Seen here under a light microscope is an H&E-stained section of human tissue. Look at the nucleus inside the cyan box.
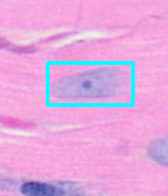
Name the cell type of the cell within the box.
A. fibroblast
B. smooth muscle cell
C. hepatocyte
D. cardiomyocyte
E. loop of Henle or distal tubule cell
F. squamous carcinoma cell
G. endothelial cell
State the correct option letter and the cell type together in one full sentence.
In this item, the cell within the box is a cardiomyocyte, and option D is right.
